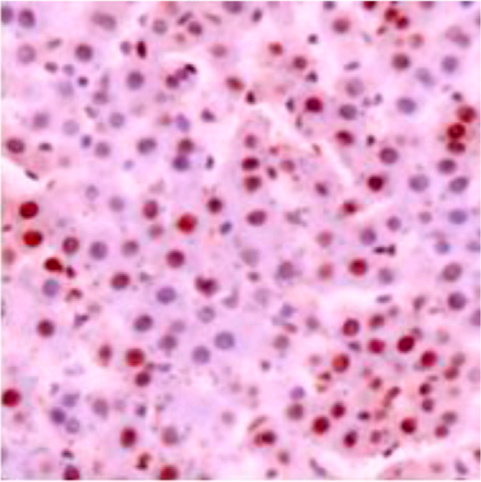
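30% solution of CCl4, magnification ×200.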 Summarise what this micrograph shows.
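Liver parenchyma of hepatocytes in plates, with sinusoid-like spaces between them. The hepatocytes are large and polygonal with pale pink cytoplasm and a single round central nucleus. Some stained nuclei look small and dense. Small elongated dark nuclei, likely lining cells of the sinusoids, lie between the plates. Cell borders are indistinct in places and the tissue architecture is otherwise preserved.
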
